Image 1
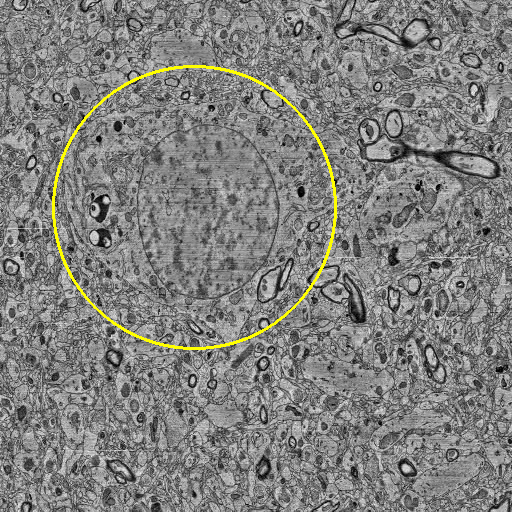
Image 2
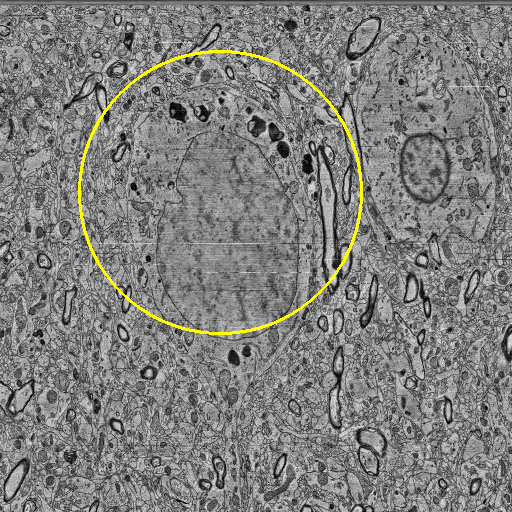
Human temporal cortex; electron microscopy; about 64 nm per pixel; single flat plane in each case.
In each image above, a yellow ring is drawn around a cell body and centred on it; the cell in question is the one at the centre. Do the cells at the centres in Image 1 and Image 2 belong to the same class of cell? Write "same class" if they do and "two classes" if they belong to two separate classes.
two classes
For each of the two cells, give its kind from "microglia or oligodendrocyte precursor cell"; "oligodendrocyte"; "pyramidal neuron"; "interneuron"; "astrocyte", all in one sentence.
The first picture has an interneuron in its ring, the second has a pyramidal neuron.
